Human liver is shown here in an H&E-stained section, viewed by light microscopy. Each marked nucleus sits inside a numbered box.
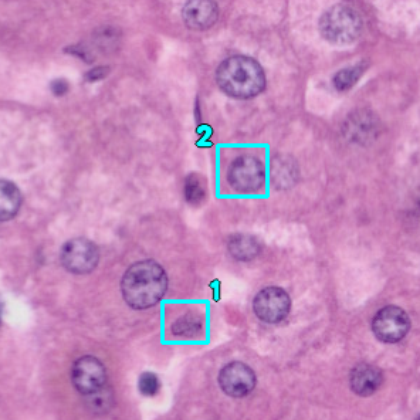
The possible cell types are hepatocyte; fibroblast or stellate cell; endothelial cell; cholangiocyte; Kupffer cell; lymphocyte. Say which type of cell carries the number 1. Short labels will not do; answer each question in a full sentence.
The cell pointed out by number 1 is a Kupffer cell.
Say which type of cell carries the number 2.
Here, the cell given the number 2 is a hepatocyte.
